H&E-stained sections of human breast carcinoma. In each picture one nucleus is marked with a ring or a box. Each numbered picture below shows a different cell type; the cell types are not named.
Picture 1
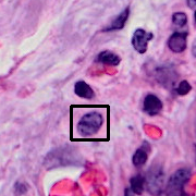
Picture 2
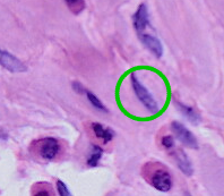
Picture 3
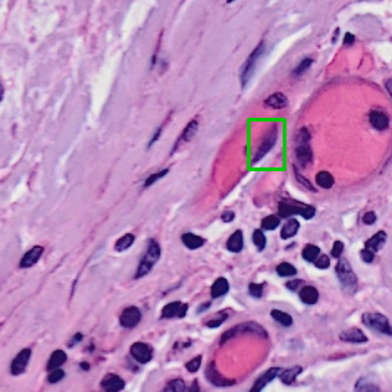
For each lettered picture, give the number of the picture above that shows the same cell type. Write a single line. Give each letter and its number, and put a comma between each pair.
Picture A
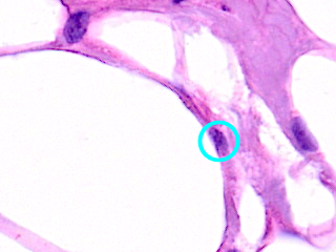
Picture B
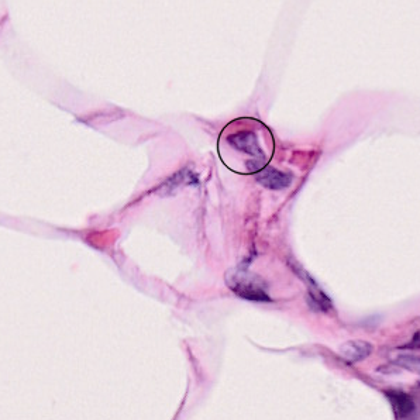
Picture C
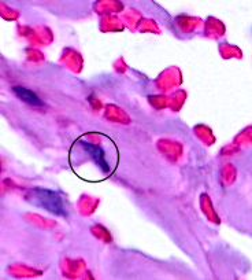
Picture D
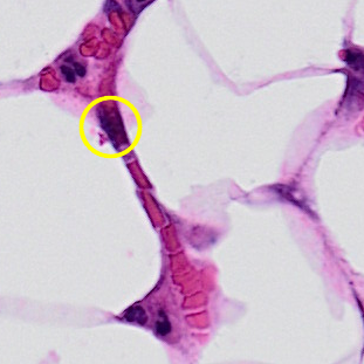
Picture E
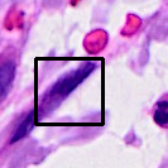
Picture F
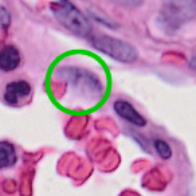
A 2, B 3, C 2, D 3, E 2, F 3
